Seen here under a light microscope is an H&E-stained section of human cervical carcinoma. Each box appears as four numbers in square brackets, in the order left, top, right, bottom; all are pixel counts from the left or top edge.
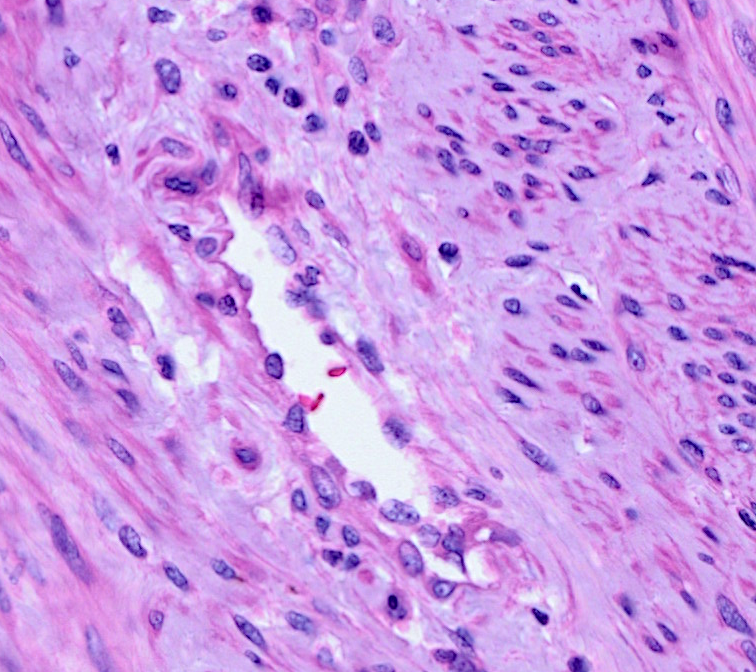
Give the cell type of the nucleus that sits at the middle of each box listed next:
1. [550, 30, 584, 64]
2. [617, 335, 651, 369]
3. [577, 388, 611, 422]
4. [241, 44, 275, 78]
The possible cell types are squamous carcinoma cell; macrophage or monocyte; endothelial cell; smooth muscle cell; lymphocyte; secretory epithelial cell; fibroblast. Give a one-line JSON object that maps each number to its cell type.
{"1": "smooth muscle cell", "2": "smooth muscle cell", "3": "smooth muscle cell", "4": "lymphocyte"}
